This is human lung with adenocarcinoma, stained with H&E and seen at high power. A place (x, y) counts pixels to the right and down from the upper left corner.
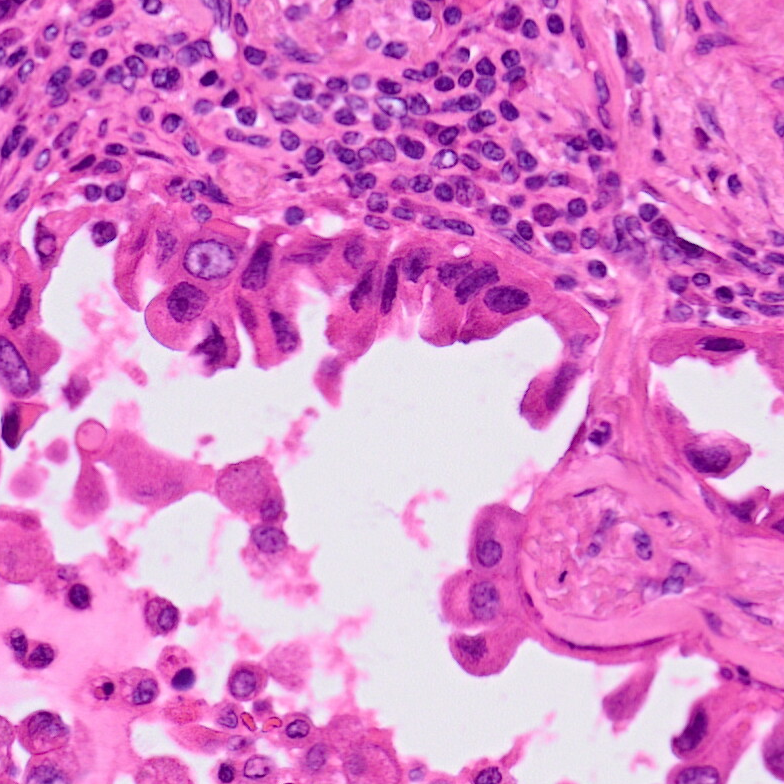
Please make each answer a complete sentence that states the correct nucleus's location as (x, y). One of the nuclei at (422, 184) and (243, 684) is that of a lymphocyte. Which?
Of the two nuclei, the one sitting at (422, 184) belongs to a lymphocyte.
